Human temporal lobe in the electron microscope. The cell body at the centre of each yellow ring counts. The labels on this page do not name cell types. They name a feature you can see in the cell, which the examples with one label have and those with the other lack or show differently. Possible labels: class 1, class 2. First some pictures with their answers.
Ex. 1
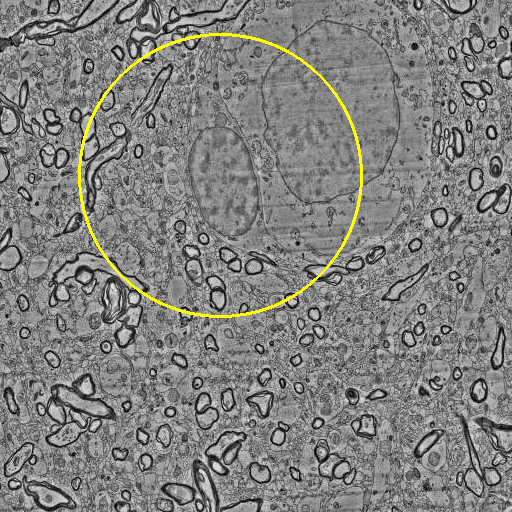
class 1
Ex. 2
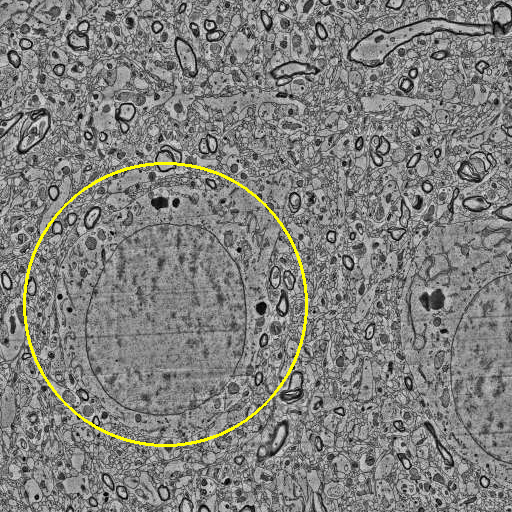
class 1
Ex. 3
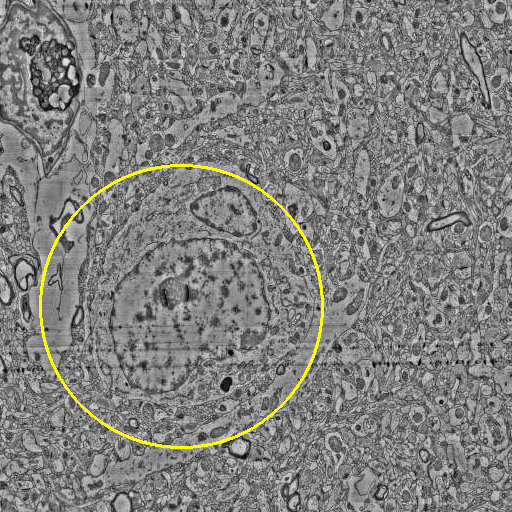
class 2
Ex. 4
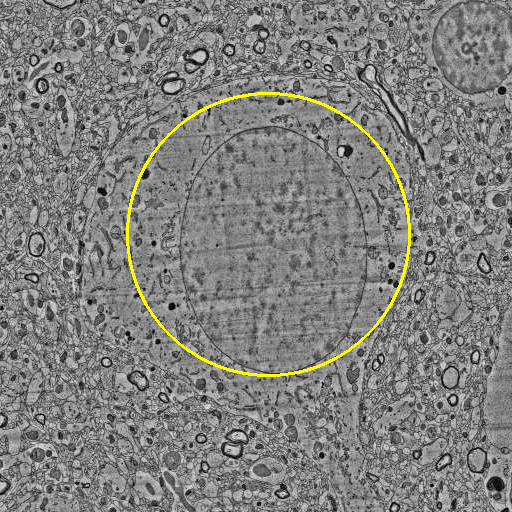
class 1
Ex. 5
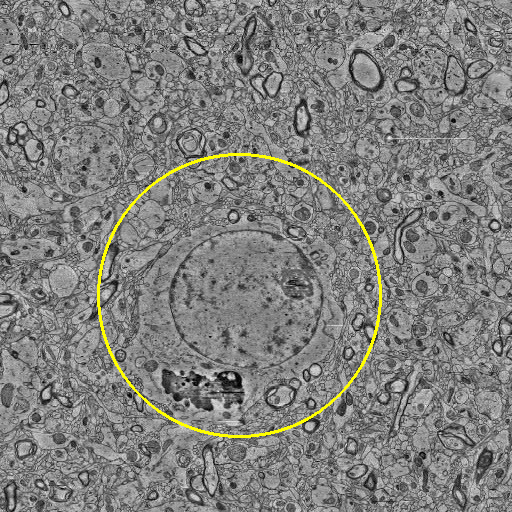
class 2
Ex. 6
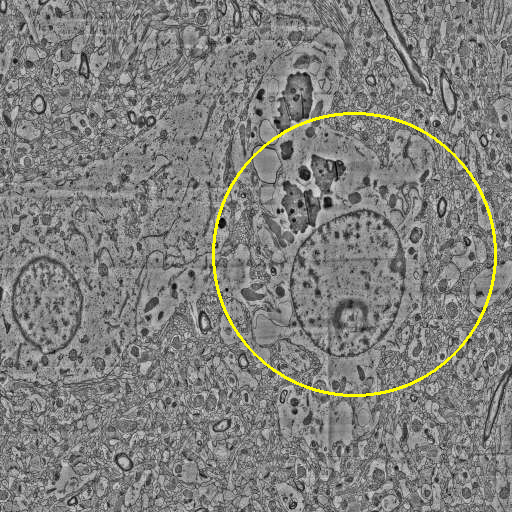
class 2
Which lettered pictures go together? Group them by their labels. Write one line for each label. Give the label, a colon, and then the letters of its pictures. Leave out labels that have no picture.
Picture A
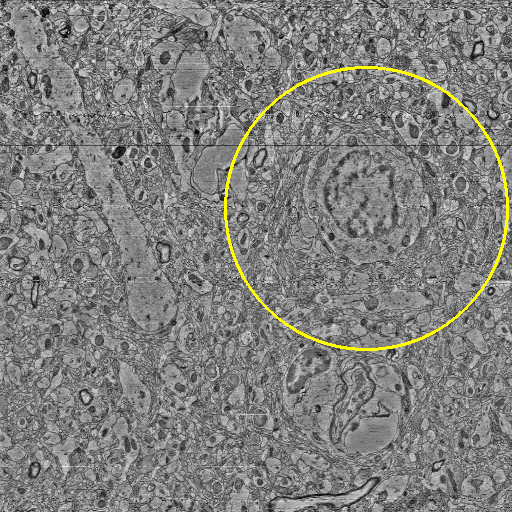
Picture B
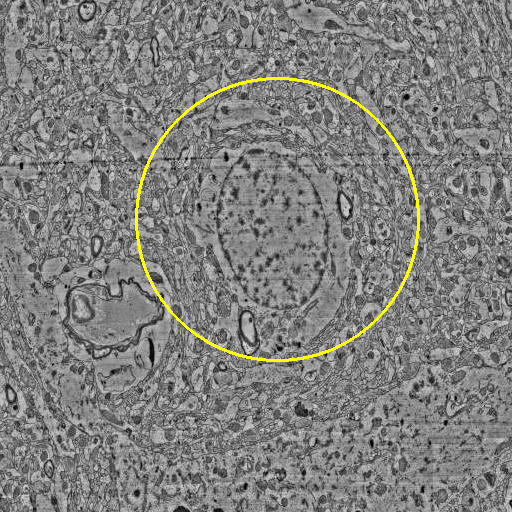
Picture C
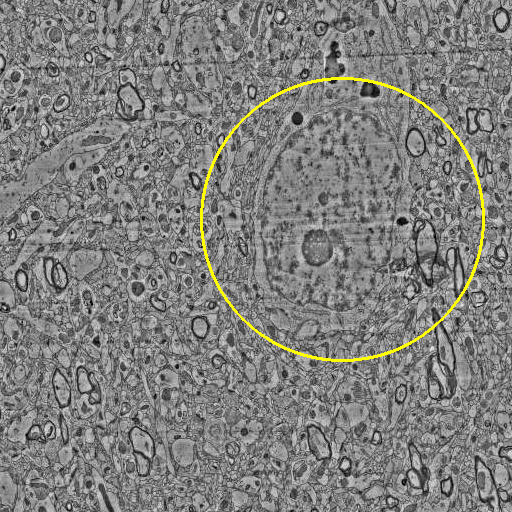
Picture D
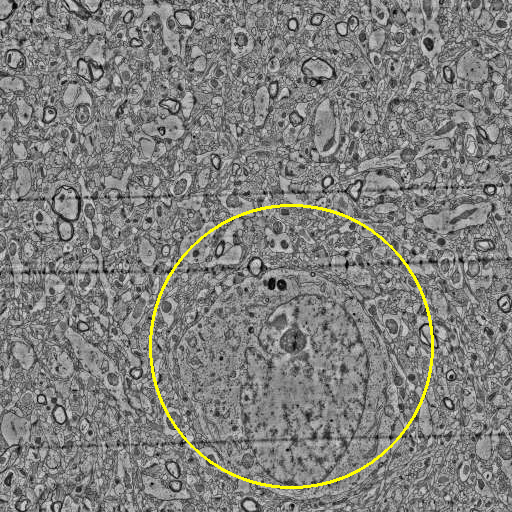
class 1: A, B
class 2: C, D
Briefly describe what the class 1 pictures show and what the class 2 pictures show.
class 1: no nucleolus seen; class 2: nucleolus seen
